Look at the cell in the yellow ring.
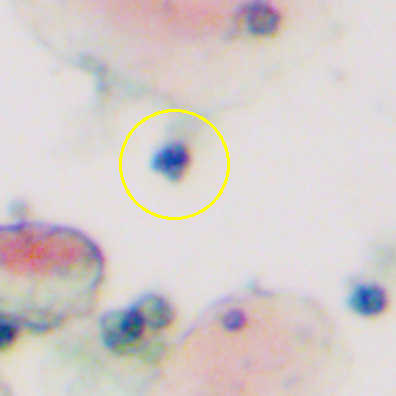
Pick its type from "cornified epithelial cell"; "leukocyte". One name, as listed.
leukocyte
